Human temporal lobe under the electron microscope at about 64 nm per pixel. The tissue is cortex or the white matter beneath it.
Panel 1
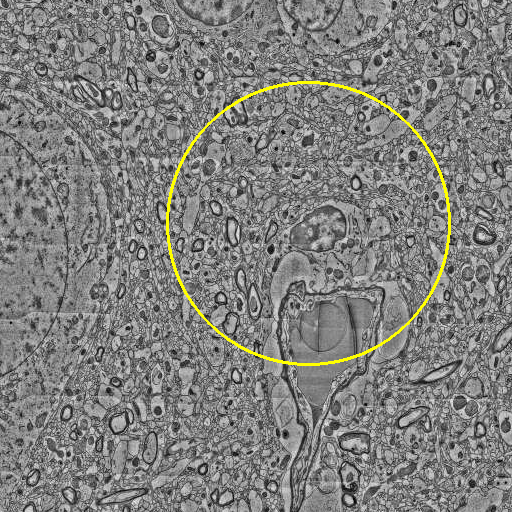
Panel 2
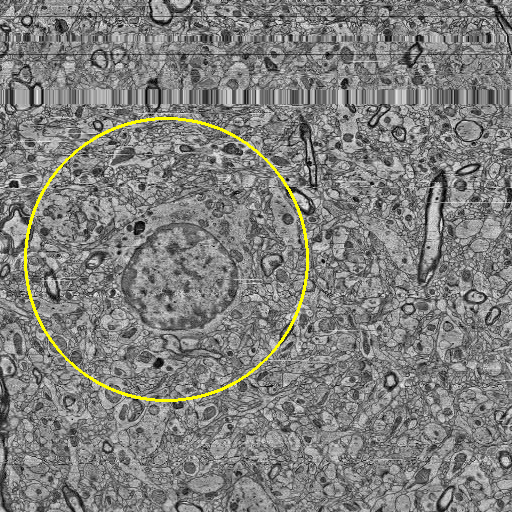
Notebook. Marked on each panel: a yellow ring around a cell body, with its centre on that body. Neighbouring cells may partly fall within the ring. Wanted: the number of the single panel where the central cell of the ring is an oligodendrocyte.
2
